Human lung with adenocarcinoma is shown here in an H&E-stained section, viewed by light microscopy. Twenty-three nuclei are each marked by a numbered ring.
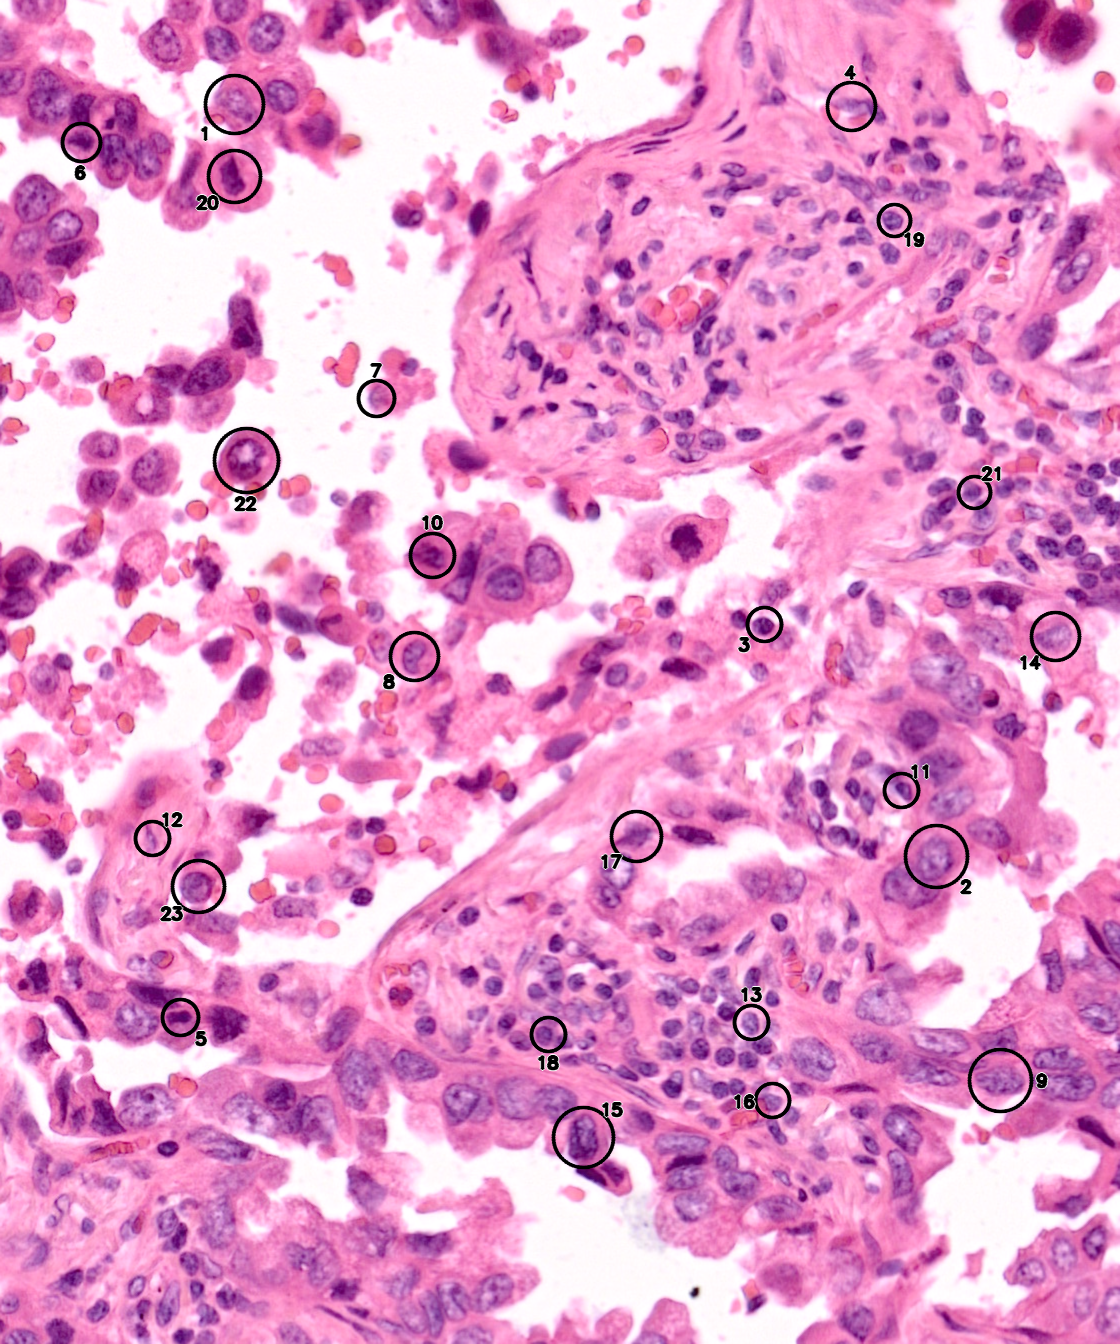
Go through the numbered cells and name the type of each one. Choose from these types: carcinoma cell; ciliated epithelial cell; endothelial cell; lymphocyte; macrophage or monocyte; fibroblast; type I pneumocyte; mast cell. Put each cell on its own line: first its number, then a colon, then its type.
1: carcinoma cell
2: carcinoma cell
3: lymphocyte
4: endothelial cell
5: carcinoma cell
6: carcinoma cell
7: macrophage or monocyte
8: macrophage or monocyte
9: carcinoma cell
10: carcinoma cell
11: lymphocyte
12: fibroblast
13: lymphocyte
14: carcinoma cell
15: carcinoma cell
16: lymphocyte
17: carcinoma cell
18: lymphocyte
19: lymphocyte
20: carcinoma cell
21: lymphocyte
22: carcinoma cell
23: carcinoma cell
